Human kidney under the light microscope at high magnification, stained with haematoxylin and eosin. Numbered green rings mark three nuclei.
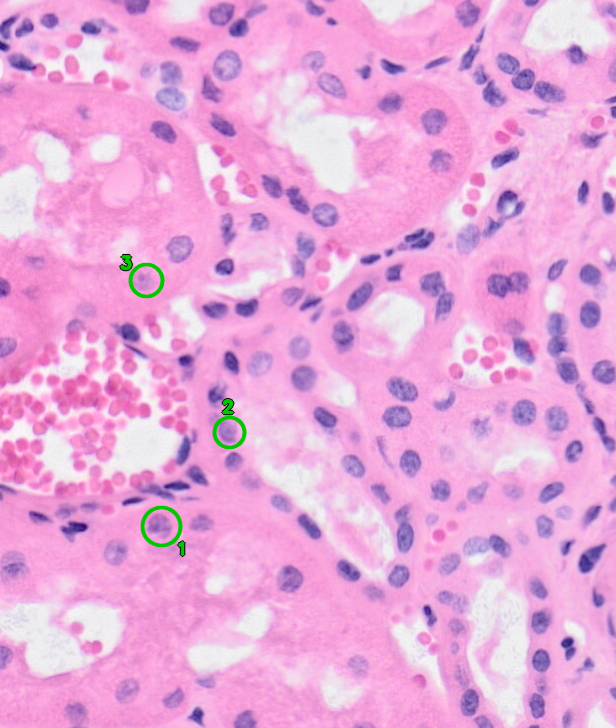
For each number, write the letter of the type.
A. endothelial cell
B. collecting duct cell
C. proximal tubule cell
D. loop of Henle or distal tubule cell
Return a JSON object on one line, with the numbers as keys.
{"1": "C", "2": "B", "3": "C"}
